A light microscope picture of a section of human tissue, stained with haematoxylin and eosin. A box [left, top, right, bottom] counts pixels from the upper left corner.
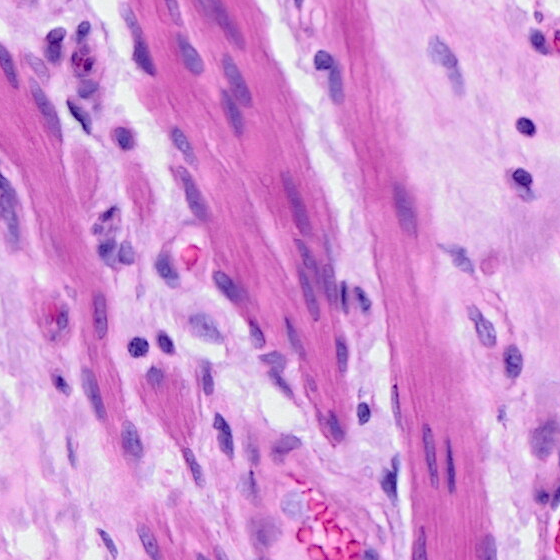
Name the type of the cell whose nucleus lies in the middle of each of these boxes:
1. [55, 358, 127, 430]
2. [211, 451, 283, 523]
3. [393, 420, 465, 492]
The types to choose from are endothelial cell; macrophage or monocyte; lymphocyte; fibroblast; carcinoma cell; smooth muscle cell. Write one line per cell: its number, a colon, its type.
1: smooth muscle cell
2: fibroblast
3: smooth muscle cell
